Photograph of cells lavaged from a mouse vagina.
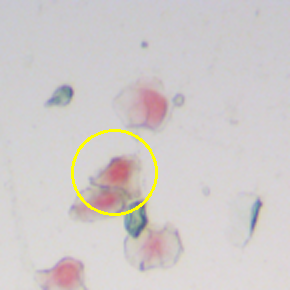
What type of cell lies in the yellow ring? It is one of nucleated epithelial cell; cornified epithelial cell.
The ringed cell is a nucleated epithelial cell.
